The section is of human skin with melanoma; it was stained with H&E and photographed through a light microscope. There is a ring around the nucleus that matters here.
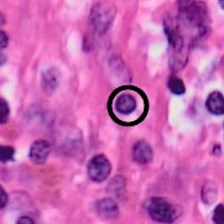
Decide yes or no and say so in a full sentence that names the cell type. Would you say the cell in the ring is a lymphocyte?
Yes, no change needed: the cell in the ring is a lymphocyte.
